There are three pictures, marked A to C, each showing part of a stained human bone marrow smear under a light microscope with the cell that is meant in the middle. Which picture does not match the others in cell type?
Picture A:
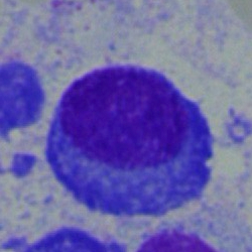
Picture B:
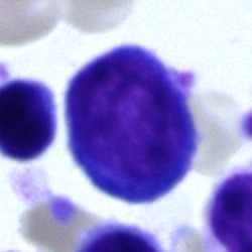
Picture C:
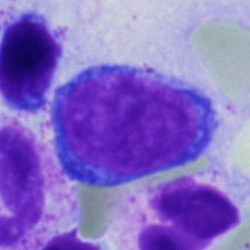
A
